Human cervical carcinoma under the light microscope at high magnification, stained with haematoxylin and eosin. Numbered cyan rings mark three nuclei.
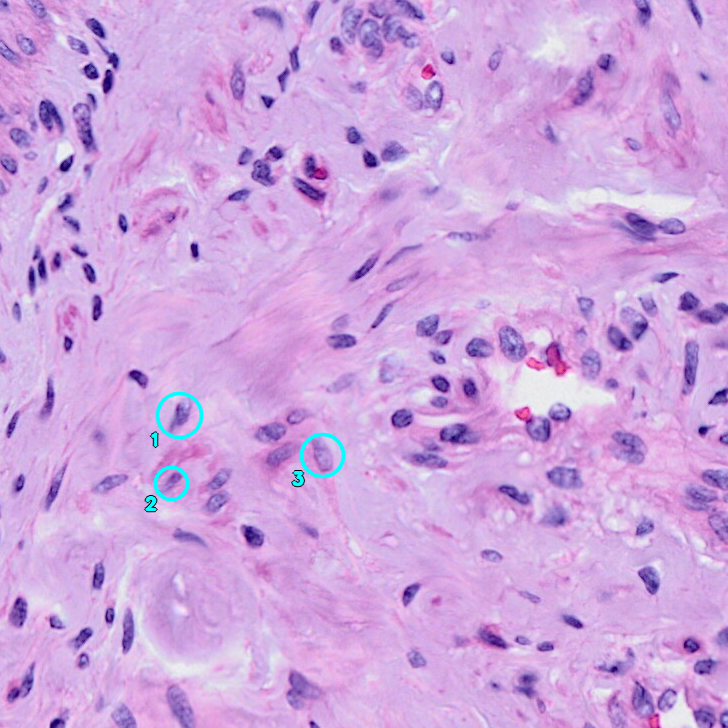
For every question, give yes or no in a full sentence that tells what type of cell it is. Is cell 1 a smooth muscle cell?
No, the cell numbered 1 is a fibroblast rather than a smooth muscle cell.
